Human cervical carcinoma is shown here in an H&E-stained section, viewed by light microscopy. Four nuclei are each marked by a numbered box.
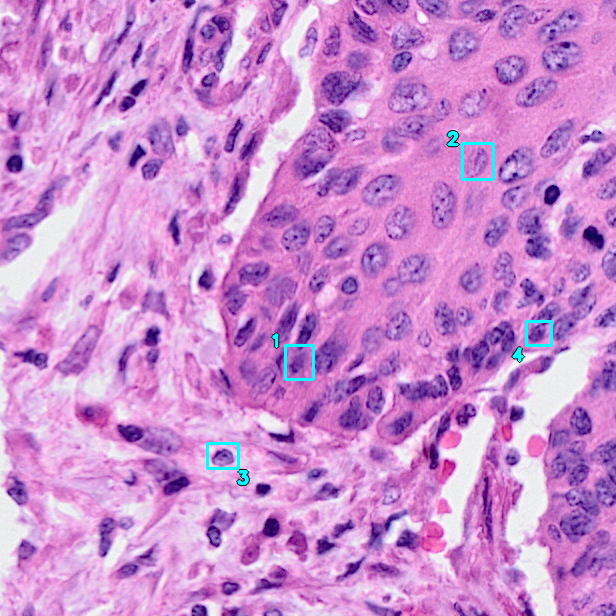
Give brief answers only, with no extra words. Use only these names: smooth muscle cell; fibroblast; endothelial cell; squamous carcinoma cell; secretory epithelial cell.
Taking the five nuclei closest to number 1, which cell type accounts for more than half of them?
squamous carcinoma cell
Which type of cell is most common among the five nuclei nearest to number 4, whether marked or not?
squamous carcinoma cell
